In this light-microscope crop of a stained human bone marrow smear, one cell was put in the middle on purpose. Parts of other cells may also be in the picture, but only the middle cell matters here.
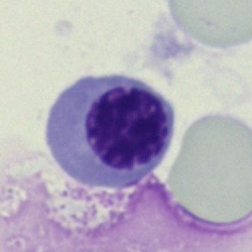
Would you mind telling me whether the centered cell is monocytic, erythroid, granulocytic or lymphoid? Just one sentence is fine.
For the cell at the center, the lineage is erythroid.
